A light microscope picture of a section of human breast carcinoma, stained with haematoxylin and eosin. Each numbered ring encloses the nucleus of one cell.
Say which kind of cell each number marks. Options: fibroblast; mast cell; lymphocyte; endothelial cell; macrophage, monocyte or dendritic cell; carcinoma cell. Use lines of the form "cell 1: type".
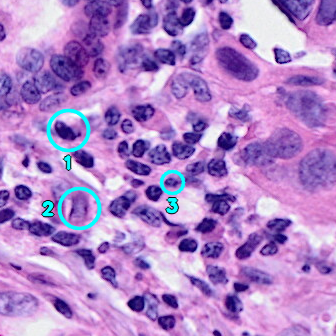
cell 1: lymphocyte
cell 2: endothelial cell
cell 3: lymphocyte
